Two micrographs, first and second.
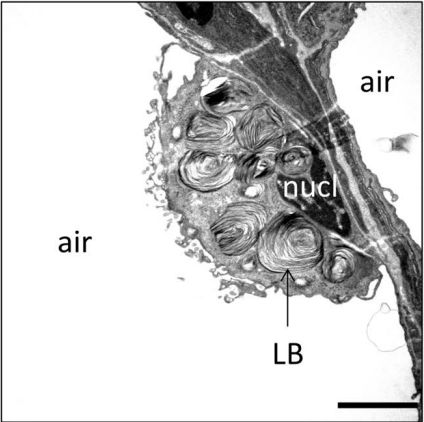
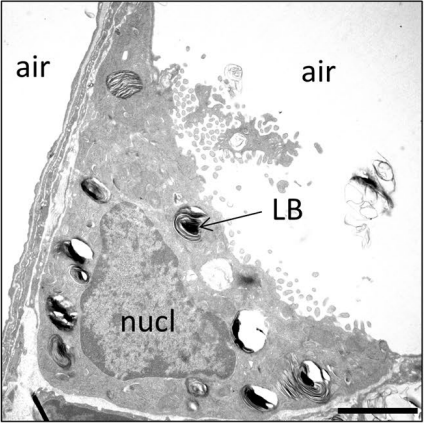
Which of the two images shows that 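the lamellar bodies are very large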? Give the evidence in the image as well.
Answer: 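The first image. Second image: the lamellar bodies are small, scattered round the nucleus, many appearing as dense, partly empty profiles. First image: large concentric lamellar whorls fill much of the cytoplasm, several as wide as or wider than the nucleus.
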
